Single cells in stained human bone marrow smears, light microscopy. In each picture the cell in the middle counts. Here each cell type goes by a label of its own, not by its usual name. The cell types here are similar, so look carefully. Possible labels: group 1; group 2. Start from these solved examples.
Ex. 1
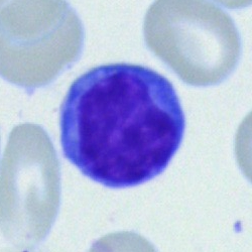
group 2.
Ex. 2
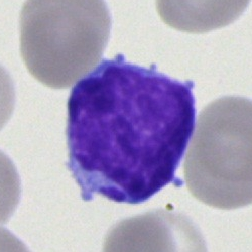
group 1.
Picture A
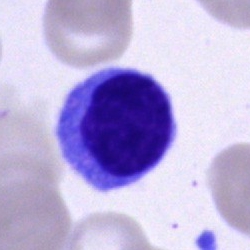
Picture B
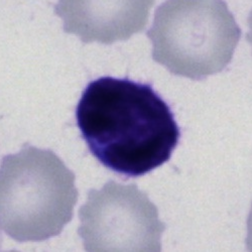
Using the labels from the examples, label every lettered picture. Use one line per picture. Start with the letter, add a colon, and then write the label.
A: group 2.
B: group 2.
